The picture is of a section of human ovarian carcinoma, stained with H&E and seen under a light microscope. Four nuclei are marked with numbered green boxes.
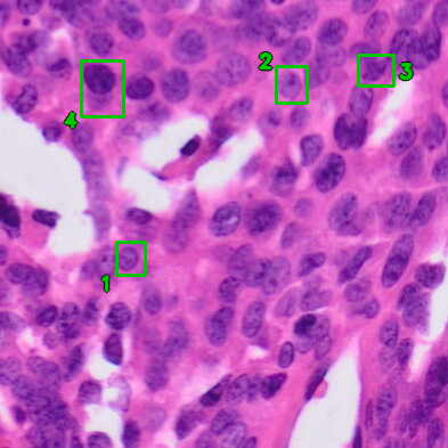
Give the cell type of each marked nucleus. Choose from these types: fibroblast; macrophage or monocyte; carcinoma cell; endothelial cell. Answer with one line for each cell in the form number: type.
1: carcinoma cell
2: macrophage or monocyte
3: carcinoma cell
4: carcinoma cell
